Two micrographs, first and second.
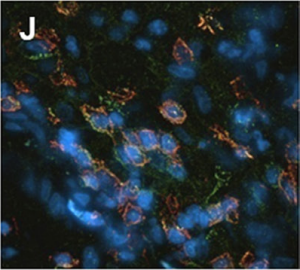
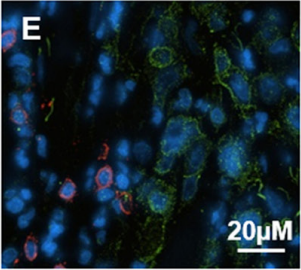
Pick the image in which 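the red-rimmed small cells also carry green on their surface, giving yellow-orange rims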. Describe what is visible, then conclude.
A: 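First image: many small cells show orange-yellow rims where red and green overlap. Second image: the red rings of small cells stay pure red, apart from the green-outlined larger cells.
Hence: the first image.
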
